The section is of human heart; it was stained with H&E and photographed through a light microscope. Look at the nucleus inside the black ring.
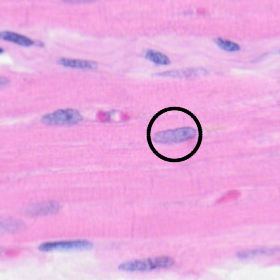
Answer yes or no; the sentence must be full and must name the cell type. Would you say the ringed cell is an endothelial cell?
No, the ringed cell qualifies as a cardiomyocyte and does not qualify as an endothelial cell.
